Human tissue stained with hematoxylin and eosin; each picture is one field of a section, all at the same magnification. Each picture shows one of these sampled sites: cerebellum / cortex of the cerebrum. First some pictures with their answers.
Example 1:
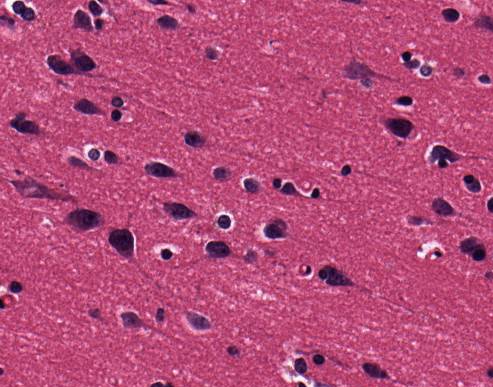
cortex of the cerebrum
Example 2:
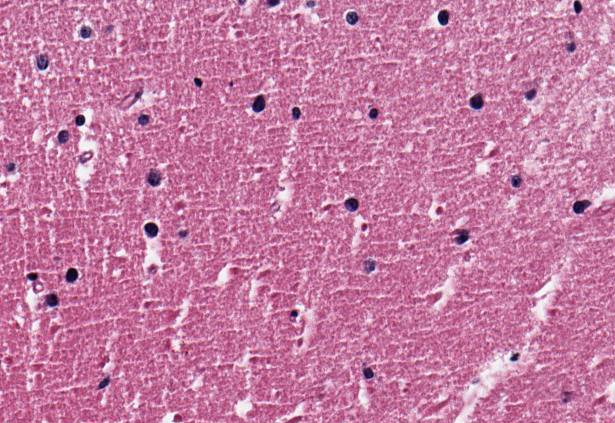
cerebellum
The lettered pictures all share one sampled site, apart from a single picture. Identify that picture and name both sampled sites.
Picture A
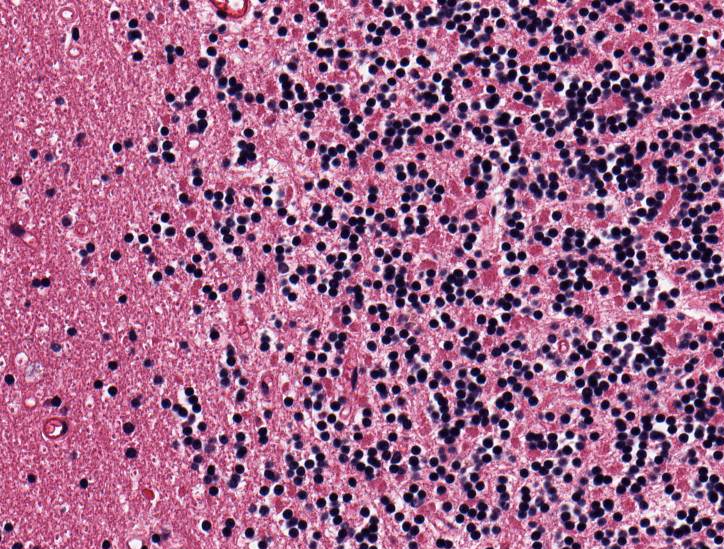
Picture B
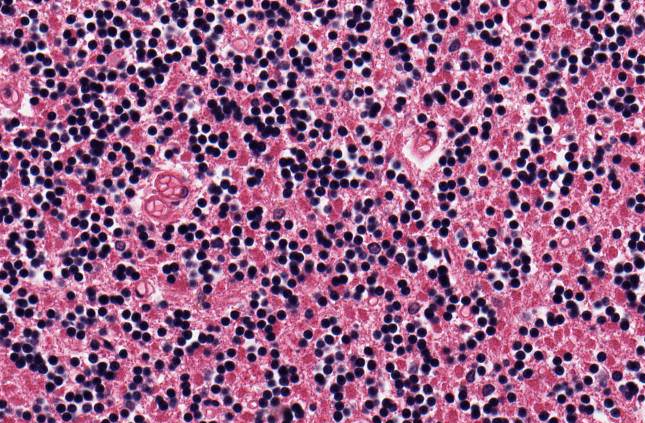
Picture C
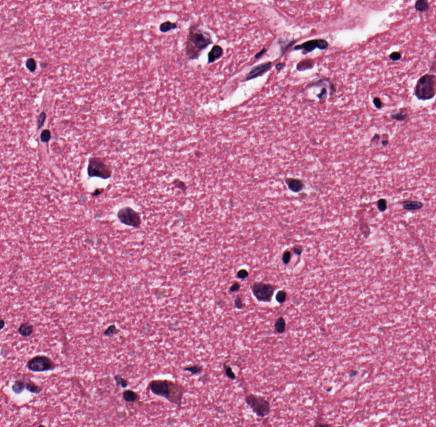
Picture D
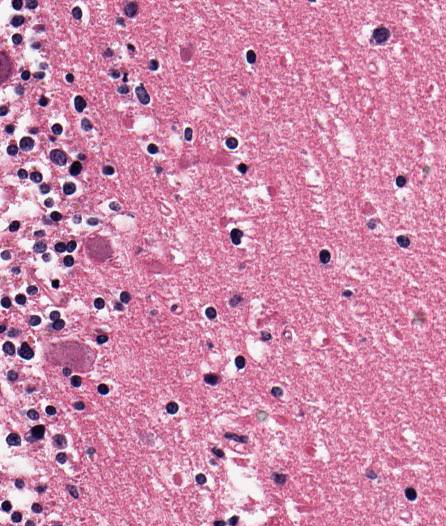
Picture C: cortex of the cerebrum. All others: cerebellum.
